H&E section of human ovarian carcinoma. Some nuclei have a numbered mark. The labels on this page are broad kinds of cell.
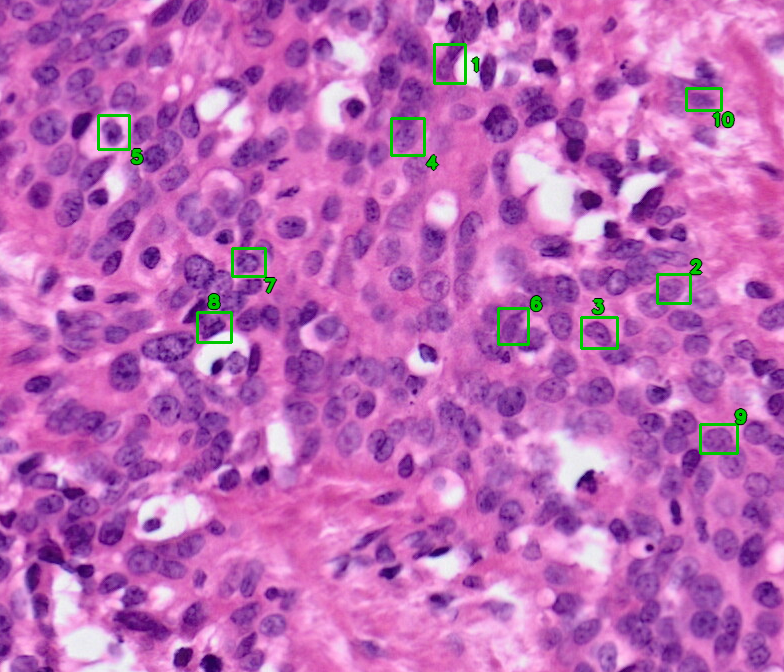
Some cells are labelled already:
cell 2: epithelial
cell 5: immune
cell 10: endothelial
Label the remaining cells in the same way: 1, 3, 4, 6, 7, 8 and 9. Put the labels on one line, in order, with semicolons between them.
epithelial; immune; epithelial; epithelial; immune; epithelial; epithelial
